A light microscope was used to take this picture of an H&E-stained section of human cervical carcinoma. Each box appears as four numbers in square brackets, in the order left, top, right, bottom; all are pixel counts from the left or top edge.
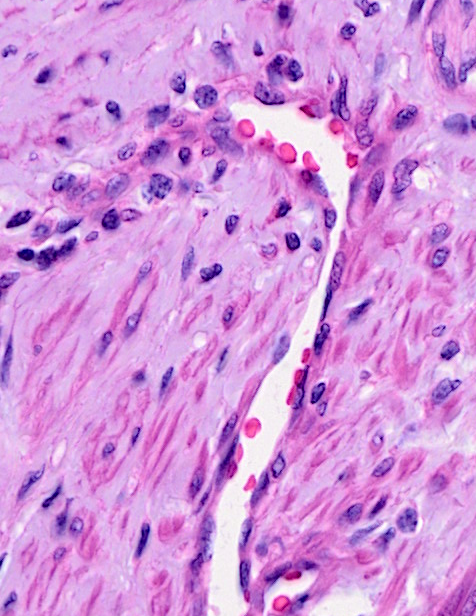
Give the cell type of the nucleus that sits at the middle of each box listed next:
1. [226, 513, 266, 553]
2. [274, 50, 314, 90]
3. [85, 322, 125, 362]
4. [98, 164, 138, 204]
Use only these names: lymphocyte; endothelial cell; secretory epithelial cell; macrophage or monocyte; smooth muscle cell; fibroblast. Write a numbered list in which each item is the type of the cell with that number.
1. endothelial cell
2. lymphocyte
3. smooth muscle cell
4. endothelial cell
